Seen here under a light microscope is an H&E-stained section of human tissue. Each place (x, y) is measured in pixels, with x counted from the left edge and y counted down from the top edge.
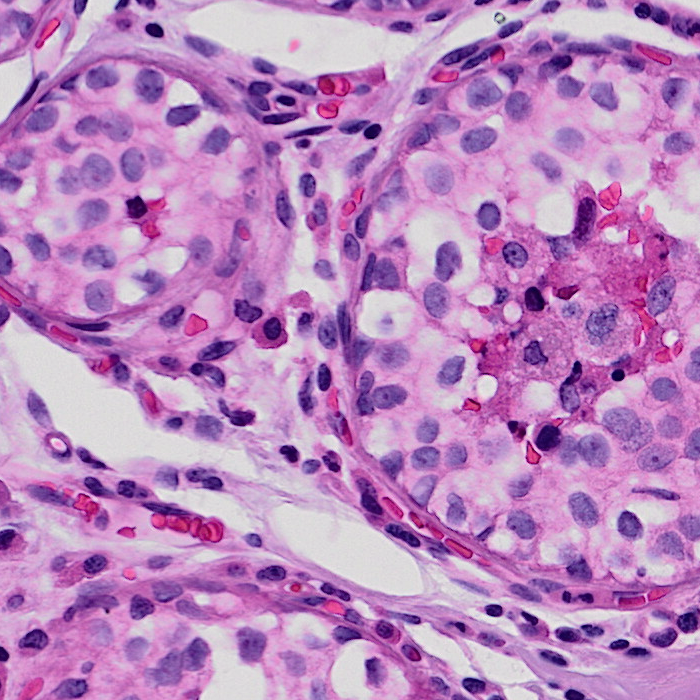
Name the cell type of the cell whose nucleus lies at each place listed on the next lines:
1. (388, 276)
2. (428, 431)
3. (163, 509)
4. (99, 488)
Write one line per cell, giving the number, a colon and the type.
1: carcinoma cell
2: carcinoma cell
3: endothelial cell
4: endothelial cell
